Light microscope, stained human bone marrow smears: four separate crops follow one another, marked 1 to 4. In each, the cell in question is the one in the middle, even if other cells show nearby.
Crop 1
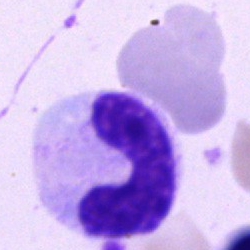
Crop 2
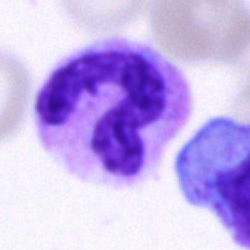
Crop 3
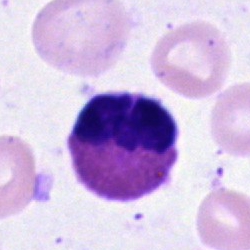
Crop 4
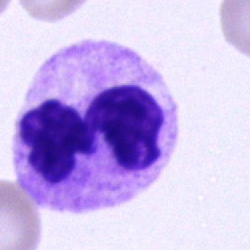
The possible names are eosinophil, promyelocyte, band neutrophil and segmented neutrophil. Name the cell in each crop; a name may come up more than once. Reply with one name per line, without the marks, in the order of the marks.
band neutrophil
band neutrophil
eosinophil
segmented neutrophil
